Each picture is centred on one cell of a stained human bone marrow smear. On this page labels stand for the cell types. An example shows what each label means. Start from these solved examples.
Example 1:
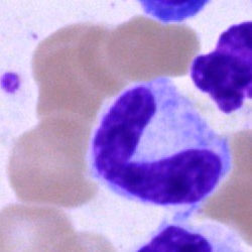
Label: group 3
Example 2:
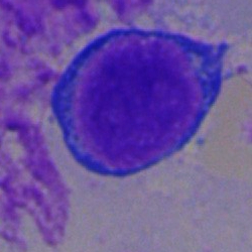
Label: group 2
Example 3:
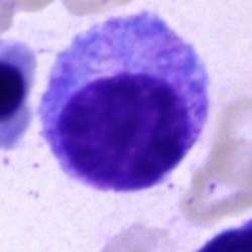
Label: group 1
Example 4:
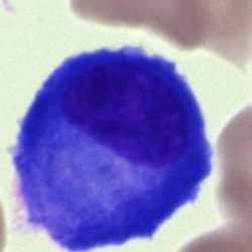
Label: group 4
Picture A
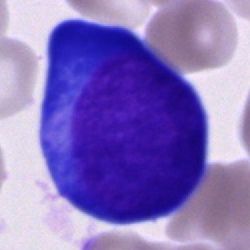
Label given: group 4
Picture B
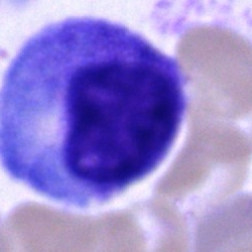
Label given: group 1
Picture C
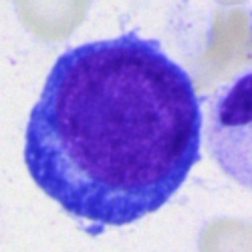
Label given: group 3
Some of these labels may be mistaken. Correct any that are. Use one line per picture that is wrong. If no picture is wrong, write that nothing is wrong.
A should be group 2, not group 4
C should be group 2, not group 3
